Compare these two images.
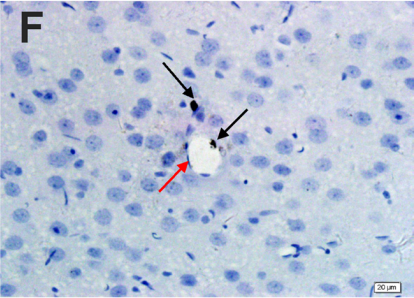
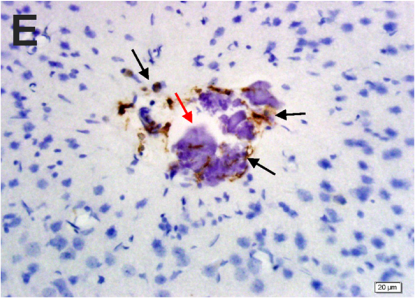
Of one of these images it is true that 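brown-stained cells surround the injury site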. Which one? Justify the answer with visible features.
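Second image: many brown-stained cells cluster around a purple amorphous mass.
The second image.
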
